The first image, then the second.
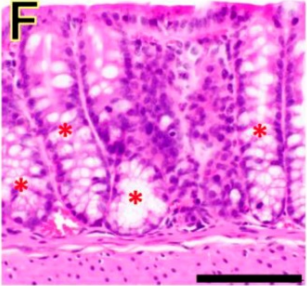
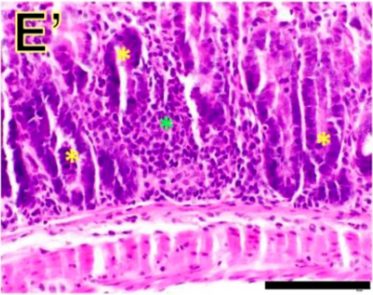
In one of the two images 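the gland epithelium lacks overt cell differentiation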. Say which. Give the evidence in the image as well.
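First image: glands are lined by many cells with pale, clear mucin-like vacuoles. Second image: glands are lined by crowded dark-purple cells without clear vacuoles. So: the second image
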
